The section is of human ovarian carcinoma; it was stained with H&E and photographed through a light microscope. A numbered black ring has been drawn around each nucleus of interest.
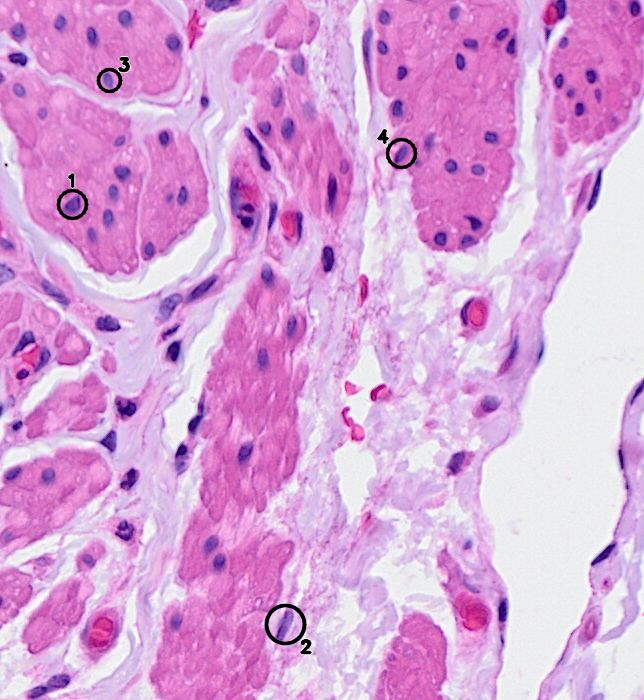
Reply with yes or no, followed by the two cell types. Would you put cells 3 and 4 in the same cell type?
Yes, of the numbered cells, 3 and 4 are both smooth muscle cells.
